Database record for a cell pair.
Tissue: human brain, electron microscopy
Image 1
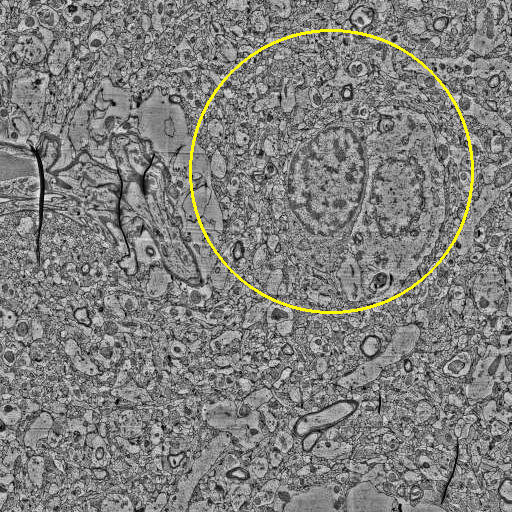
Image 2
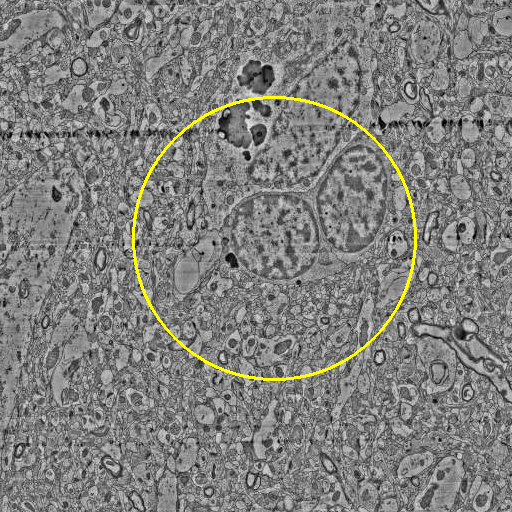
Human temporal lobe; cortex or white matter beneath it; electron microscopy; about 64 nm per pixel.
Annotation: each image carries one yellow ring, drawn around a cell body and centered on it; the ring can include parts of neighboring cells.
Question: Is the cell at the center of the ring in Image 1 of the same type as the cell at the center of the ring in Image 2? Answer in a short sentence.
Yes, the cells are of the same type.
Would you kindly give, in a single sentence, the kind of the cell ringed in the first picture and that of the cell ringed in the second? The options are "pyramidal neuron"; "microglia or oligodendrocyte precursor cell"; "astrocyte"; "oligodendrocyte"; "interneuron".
Each cell at the centre of a ring is an oligodendrocyte.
